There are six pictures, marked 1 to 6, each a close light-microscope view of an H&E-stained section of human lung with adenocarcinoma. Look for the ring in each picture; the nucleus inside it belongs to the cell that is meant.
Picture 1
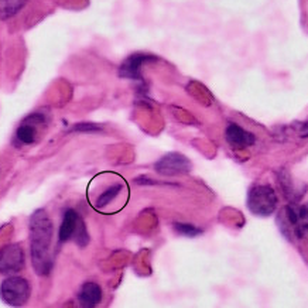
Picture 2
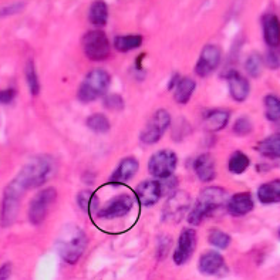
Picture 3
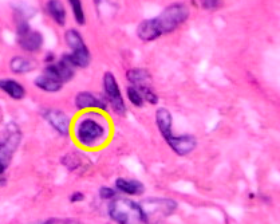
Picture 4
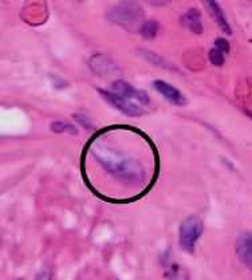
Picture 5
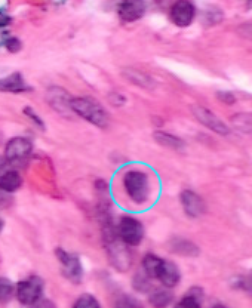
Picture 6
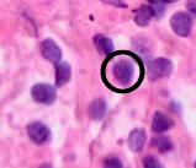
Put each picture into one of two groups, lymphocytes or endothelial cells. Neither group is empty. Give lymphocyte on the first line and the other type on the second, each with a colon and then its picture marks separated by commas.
lymphocyte: 2, 3, 5, 6
endothelial cell: 1, 4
